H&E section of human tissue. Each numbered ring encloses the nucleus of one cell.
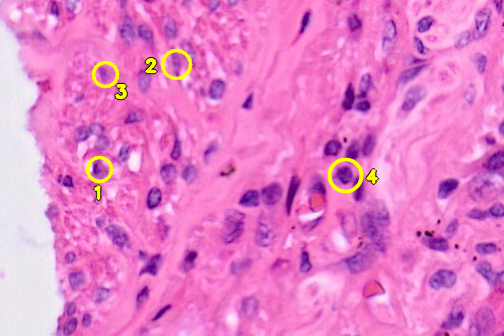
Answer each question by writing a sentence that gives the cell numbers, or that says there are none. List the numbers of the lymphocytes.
In contrast to the remaining marked cells, cell 4 is a lymphocyte.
